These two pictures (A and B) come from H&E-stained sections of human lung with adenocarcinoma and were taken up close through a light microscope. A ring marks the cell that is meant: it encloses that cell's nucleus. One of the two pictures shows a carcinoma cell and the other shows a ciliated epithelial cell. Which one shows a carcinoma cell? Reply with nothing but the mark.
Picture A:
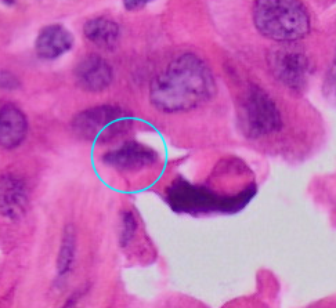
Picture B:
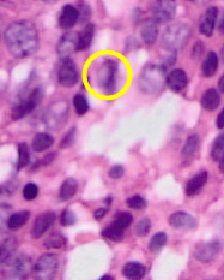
A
